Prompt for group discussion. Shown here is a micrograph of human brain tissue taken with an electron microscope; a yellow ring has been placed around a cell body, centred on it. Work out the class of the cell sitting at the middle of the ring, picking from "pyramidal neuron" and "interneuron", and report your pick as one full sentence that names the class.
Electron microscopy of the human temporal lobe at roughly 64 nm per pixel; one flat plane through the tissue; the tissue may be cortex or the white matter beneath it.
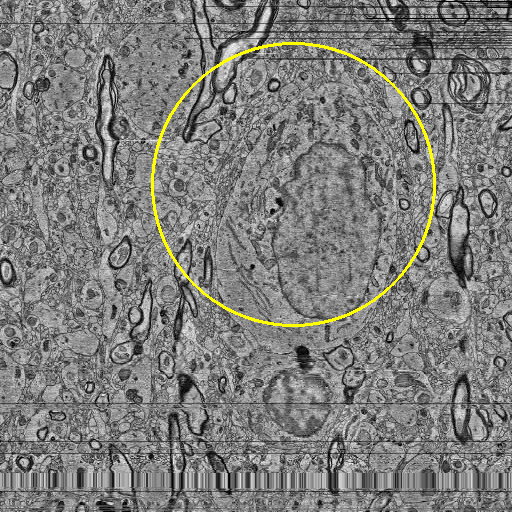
The cell sitting at the middle of the yellow ring is an interneuron.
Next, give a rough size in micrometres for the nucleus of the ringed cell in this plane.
About 12 by 7 micrometres in this plane; clearly longer than it is wide.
